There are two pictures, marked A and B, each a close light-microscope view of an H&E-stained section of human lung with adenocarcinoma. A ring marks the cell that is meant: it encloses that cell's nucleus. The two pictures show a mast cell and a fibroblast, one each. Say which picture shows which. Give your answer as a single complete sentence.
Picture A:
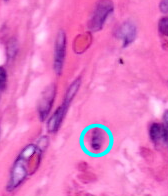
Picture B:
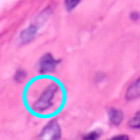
In picture A the cell is a mast cell; in picture B, a fibroblast.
